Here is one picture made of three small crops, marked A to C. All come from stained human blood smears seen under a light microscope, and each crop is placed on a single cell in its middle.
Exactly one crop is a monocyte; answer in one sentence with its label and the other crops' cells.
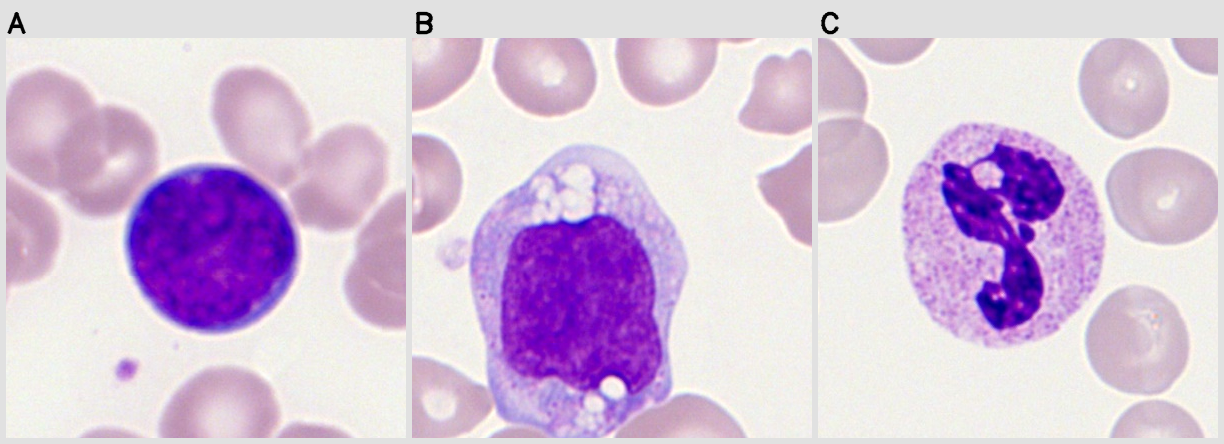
Crop B proves to be a monocyte, while crop A is a myeloblast and crop C is a segmented neutrophil.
